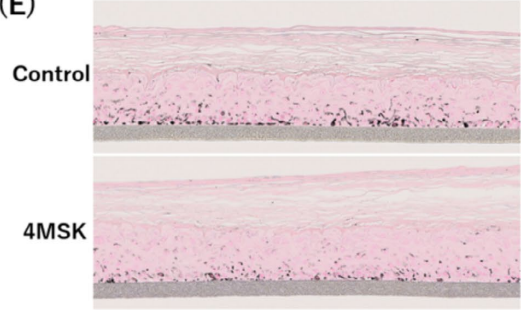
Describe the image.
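Two strips of flat, layered tissue are stacked, each a pink stratified epithelium with pale wavy flattened layers at its top, resting directly on a uniform grey band without any connective tissue beneath. Black granules are scattered through the lower half of the pink layer and are densest just above the grey band, thinning toward the surface.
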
